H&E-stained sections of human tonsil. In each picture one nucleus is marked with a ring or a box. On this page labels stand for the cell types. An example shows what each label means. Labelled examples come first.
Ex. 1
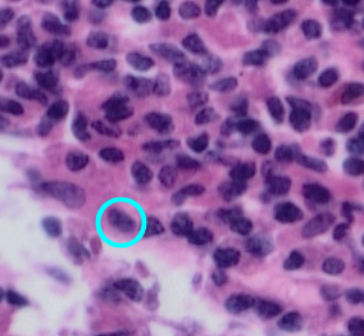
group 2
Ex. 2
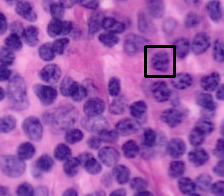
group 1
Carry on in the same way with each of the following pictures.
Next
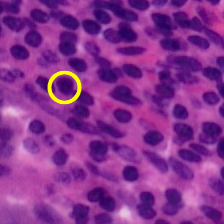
group 1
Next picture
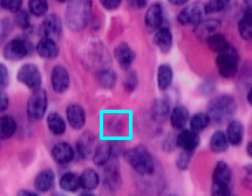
group 2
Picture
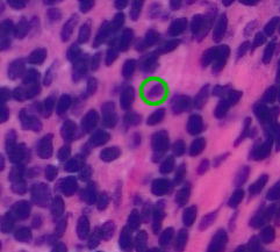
group 2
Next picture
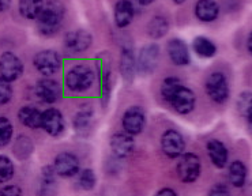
group 1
